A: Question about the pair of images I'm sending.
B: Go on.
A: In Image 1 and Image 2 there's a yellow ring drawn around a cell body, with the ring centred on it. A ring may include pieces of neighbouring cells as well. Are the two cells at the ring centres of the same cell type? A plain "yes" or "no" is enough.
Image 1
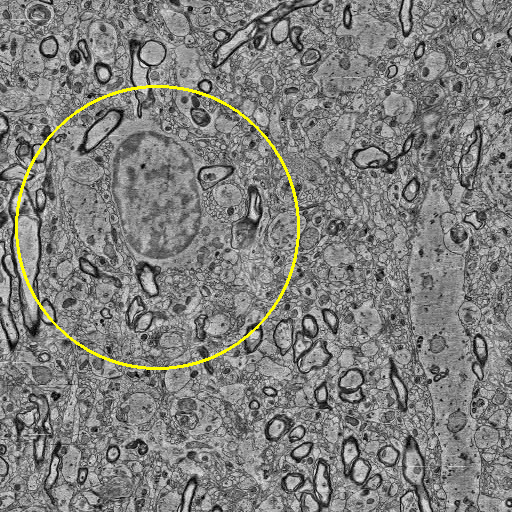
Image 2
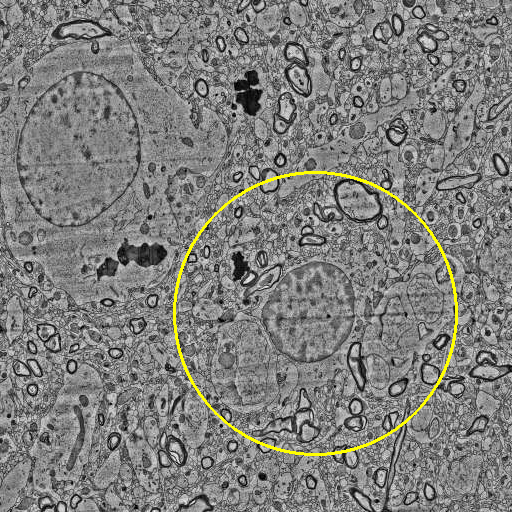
yes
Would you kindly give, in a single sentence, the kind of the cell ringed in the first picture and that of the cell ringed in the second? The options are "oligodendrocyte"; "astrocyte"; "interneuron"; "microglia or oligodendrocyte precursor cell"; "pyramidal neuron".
In the first picture and in the second, the ring is centred on an oligodendrocyte.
